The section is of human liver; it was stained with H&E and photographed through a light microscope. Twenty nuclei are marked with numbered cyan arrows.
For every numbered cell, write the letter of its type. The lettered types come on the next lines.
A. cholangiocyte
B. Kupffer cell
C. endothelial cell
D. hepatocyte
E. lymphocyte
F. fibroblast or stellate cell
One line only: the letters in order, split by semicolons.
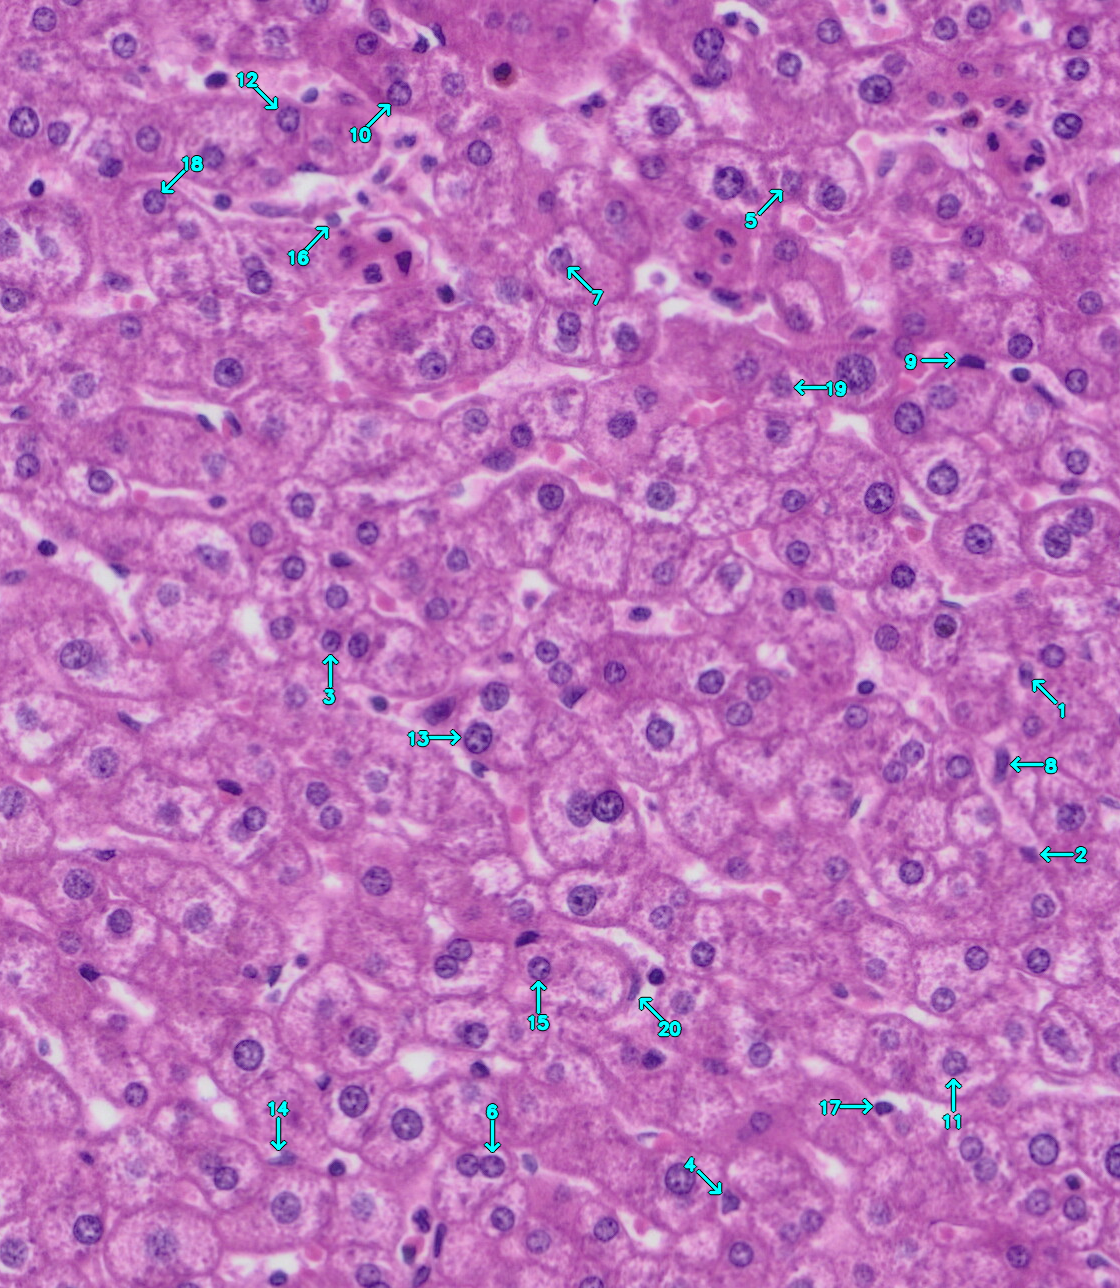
B; C; D; C; D; D; D; B; F; D; D; D; D; C; D; E; E; D; D; B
